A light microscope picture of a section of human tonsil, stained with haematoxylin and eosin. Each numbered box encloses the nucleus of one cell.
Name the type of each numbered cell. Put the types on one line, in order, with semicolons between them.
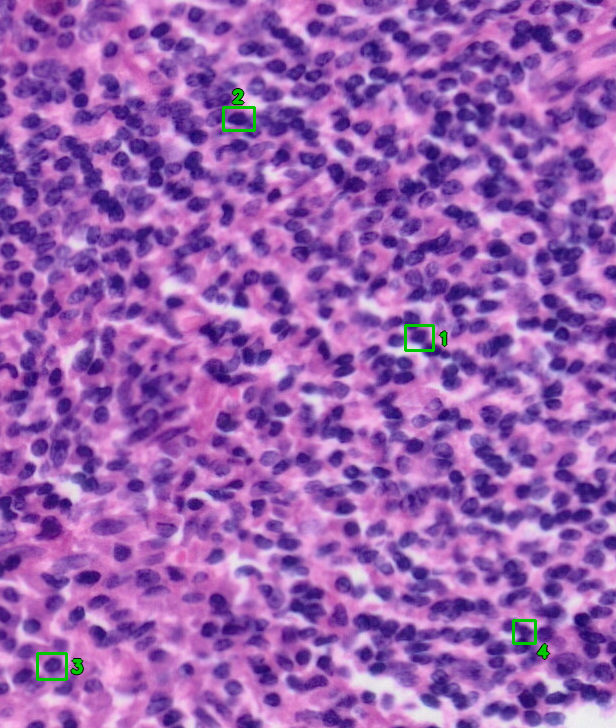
small lymphocyte; small lymphocyte; plasma cell; small lymphocyte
